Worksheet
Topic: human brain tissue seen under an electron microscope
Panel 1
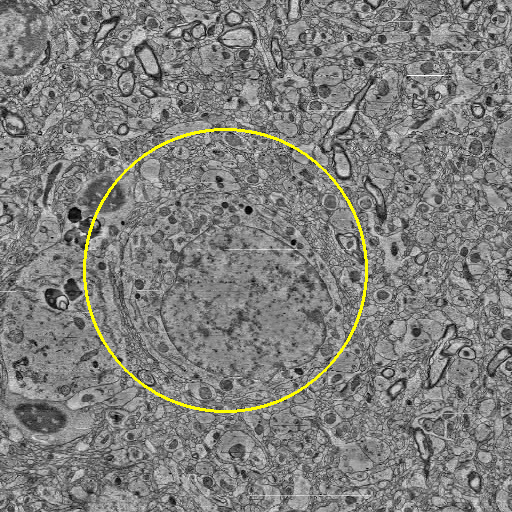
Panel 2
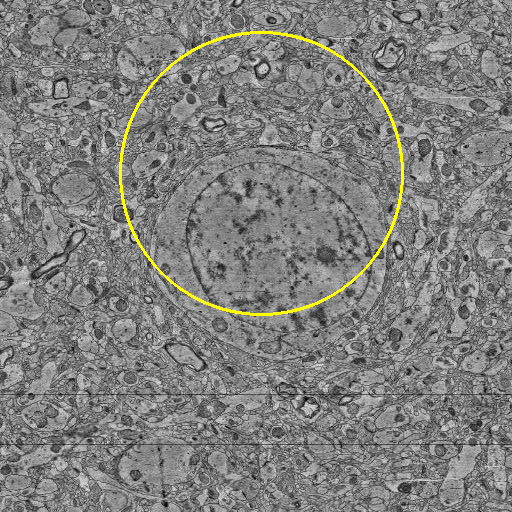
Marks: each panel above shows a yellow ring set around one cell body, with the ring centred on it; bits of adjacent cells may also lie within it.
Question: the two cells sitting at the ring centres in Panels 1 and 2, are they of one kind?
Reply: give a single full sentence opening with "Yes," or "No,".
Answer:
No, the two ring-centre cells in Panel 1 and Panel 2 are of two kinds.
